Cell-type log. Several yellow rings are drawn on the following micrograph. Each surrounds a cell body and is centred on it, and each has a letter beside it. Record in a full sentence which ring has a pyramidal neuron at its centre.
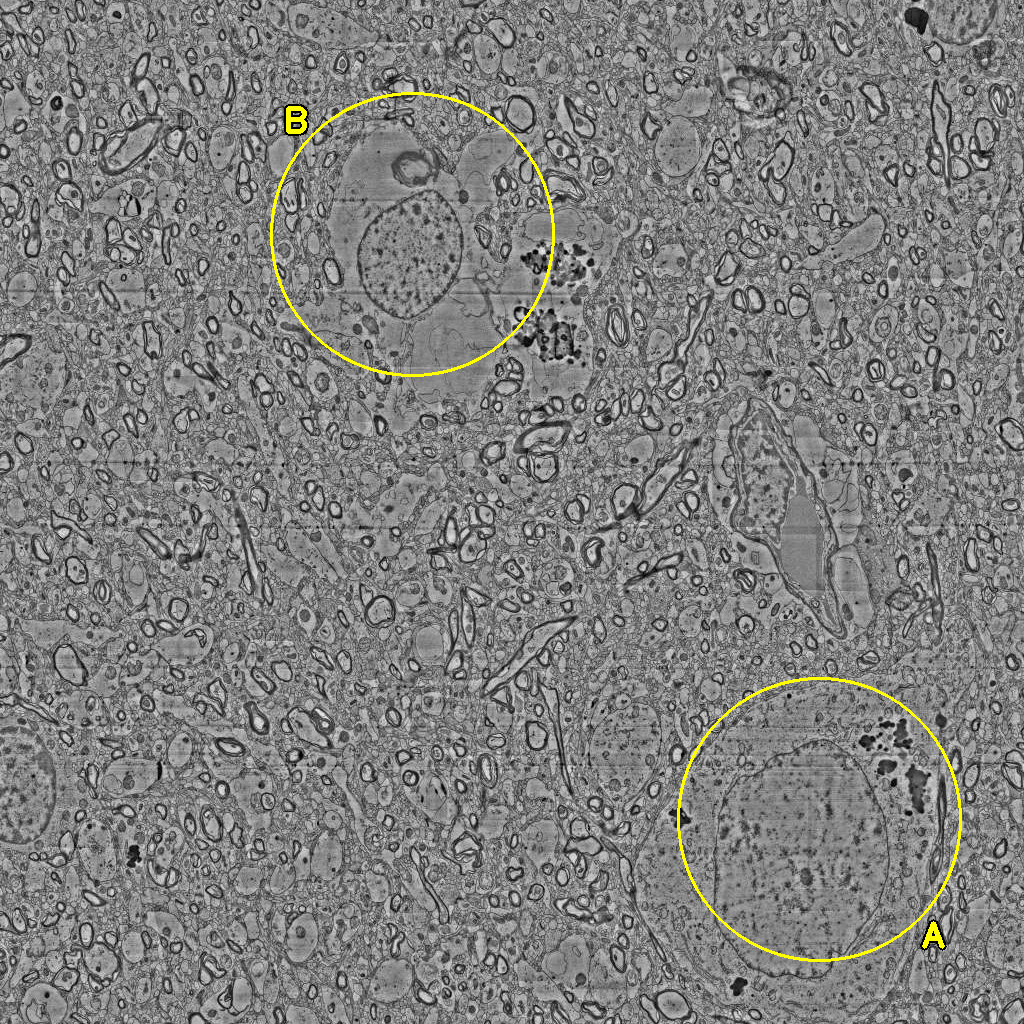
Ring A has it at its centre.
